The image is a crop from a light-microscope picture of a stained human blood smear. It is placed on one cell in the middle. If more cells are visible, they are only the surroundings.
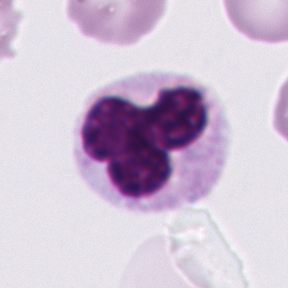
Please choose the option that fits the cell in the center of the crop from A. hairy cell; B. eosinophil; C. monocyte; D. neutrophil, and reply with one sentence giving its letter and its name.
Option D is correct, naming the cell in the middle as a neutrophil.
